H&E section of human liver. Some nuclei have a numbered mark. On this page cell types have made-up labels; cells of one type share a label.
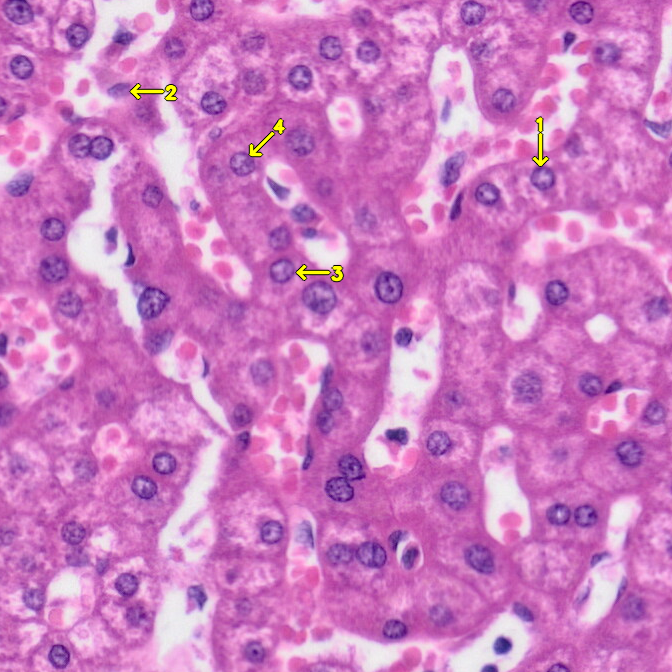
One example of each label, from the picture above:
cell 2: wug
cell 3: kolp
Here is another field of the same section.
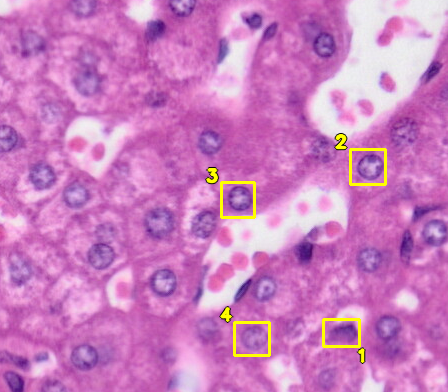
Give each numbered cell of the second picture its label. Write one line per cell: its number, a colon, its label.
1: wug
2: kolp
3: kolp
4: kolp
